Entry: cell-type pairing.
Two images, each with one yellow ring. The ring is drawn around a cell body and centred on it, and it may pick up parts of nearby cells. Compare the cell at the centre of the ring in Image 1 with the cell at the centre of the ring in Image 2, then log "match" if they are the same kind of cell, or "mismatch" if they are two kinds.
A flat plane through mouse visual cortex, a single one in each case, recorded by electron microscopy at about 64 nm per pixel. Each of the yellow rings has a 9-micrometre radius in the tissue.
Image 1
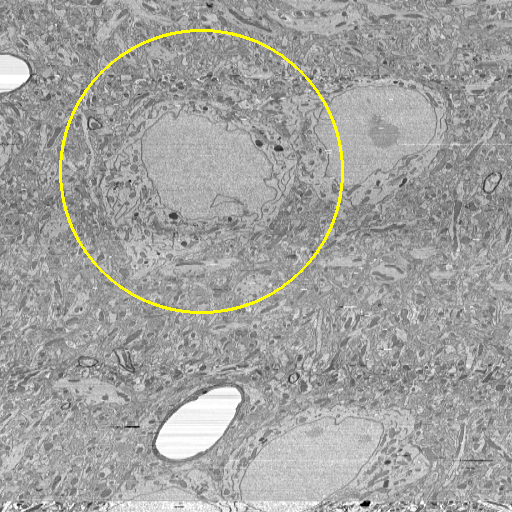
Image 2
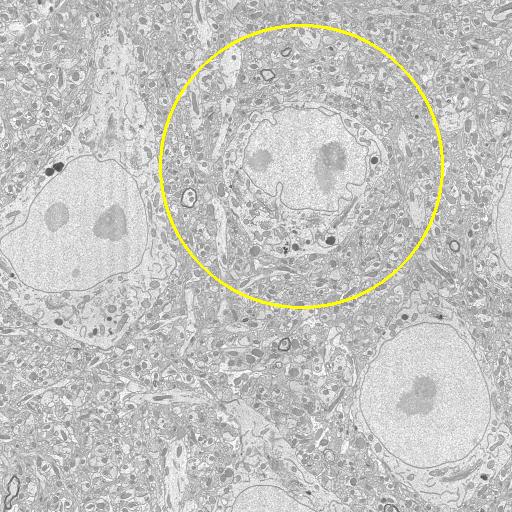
match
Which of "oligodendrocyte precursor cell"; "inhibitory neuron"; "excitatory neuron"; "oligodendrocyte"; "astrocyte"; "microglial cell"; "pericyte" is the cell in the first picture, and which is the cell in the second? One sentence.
Each of the two rings is centred on an inhibitory neuron.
